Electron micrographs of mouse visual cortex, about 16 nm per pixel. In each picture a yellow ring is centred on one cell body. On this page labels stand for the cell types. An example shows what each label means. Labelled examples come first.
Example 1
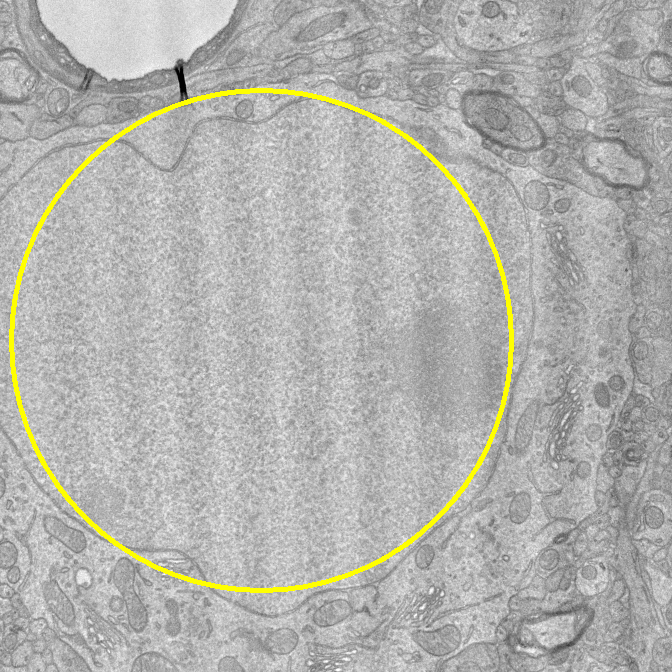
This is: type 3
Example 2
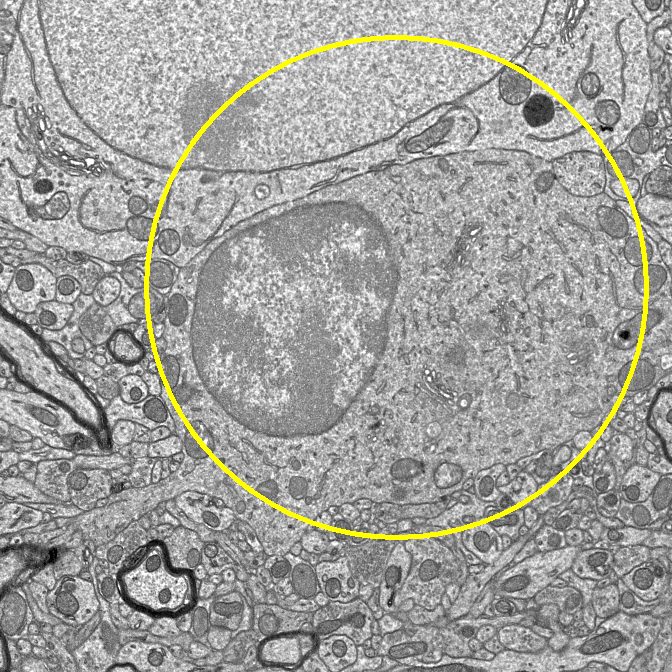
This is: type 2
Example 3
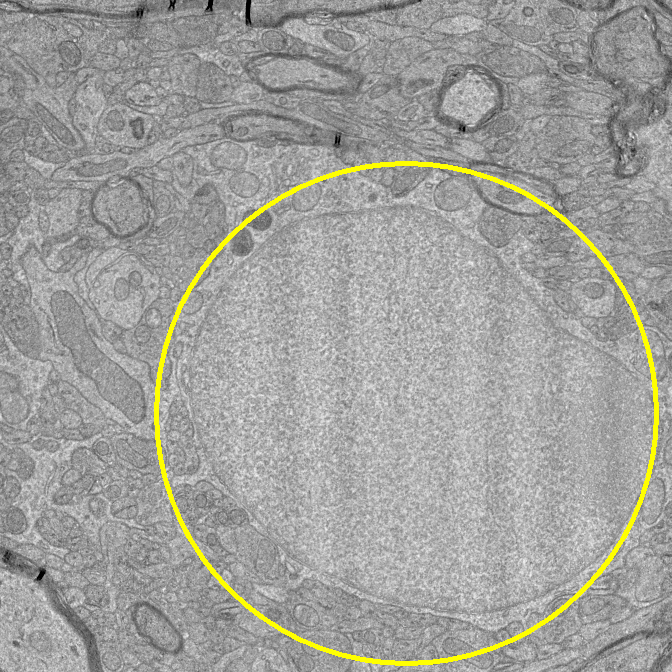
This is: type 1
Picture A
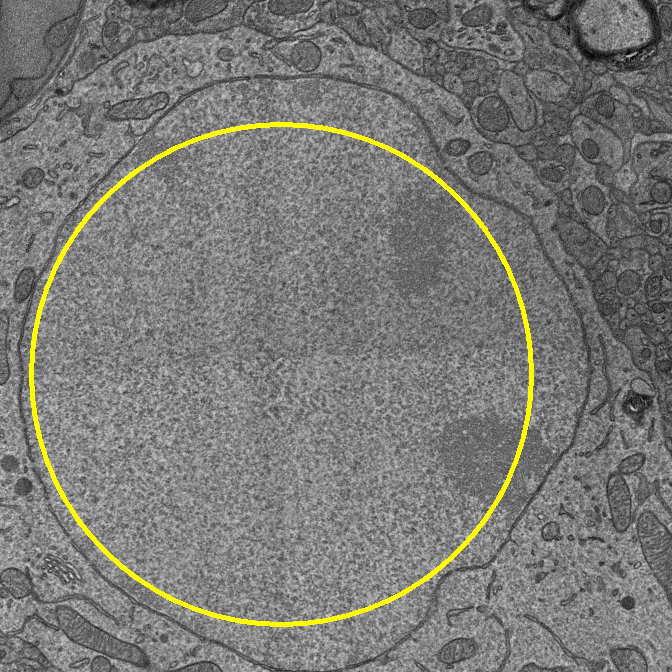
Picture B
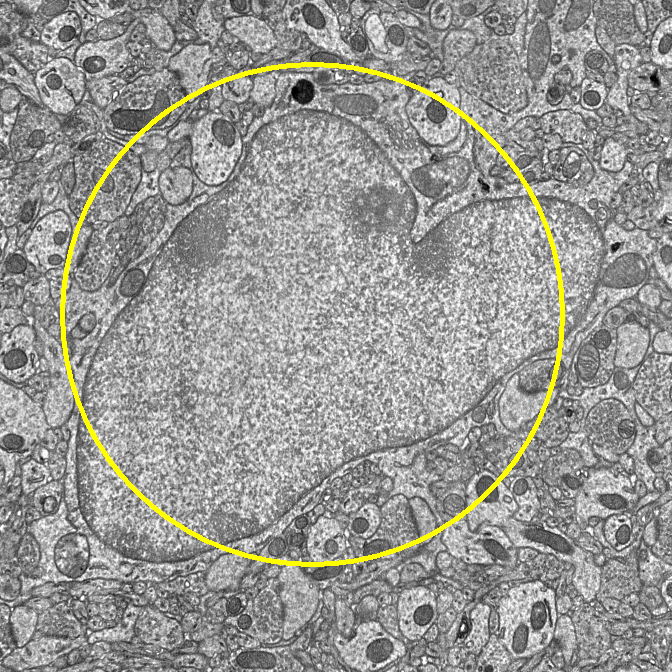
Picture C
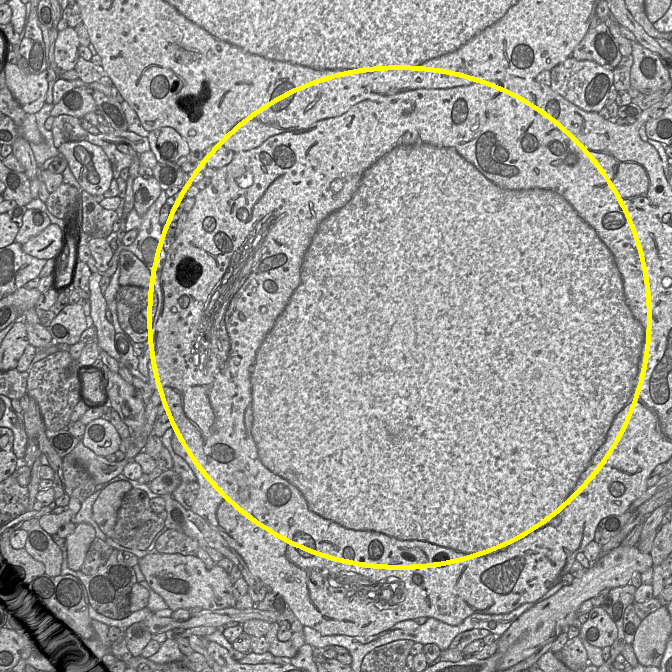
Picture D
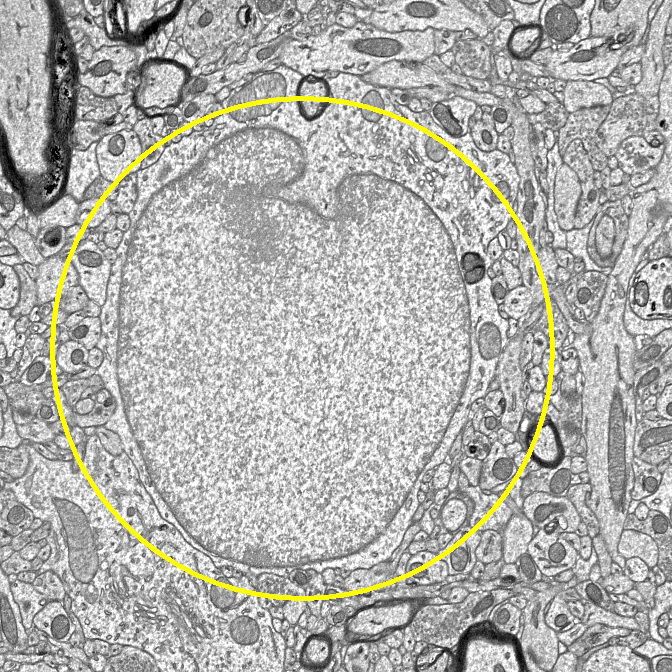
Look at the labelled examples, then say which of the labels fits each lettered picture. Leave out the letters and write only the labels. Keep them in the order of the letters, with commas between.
type 3, type 1, type 3, type 1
